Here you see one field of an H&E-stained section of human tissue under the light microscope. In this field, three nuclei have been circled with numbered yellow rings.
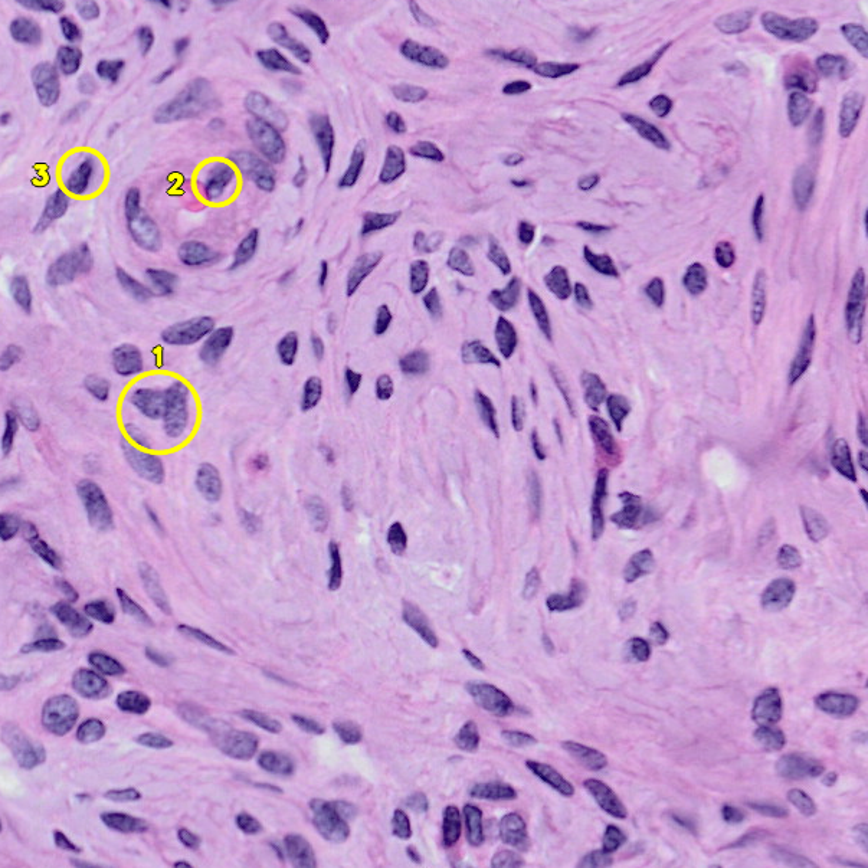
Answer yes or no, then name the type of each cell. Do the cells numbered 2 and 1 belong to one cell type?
No, cell 2 is an endothelial cell and cell 1 is a fibroblast.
